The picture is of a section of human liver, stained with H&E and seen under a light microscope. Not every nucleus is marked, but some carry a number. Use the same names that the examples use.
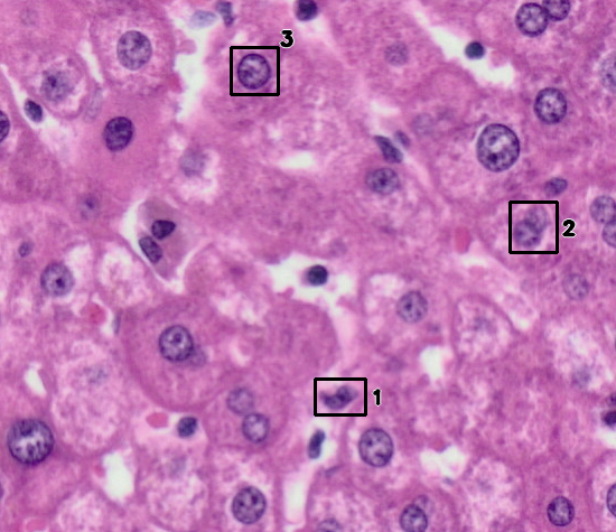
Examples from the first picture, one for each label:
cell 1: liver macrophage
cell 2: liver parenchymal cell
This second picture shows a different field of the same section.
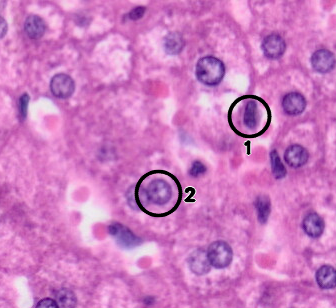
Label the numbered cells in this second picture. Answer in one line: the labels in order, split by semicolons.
liver macrophage; liver parenchymal cell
